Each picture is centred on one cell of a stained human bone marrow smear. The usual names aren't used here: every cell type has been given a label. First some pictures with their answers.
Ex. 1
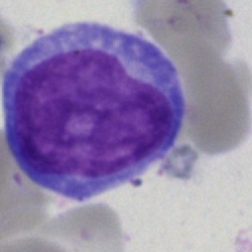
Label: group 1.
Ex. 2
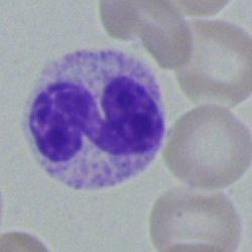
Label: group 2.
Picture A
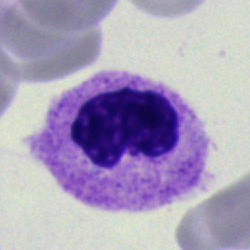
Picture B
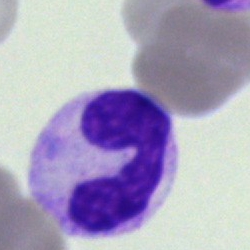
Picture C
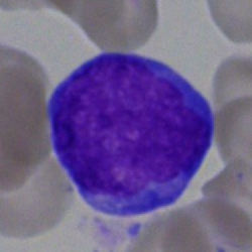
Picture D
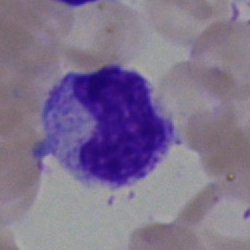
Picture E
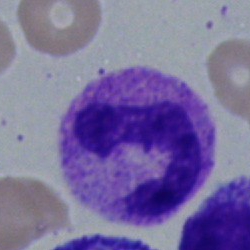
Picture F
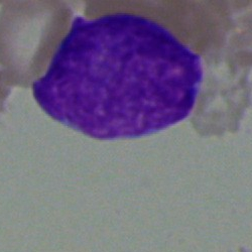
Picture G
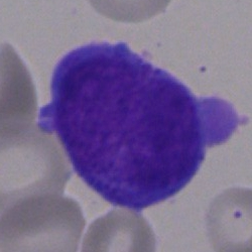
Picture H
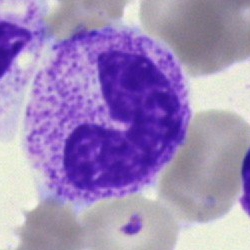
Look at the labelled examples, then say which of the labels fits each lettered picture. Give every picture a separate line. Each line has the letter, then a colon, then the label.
A: group 2.
B: group 2.
C: group 1.
D: group 2.
E: group 2.
F: group 1.
G: group 1.
H: group 2.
